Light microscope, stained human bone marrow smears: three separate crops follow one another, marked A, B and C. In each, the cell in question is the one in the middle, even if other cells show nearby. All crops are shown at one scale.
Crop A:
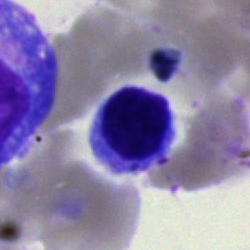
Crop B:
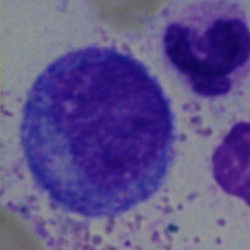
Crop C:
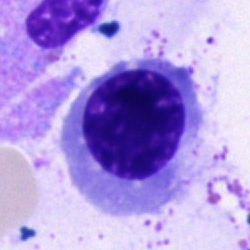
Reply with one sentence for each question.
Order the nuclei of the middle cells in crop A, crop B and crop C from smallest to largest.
Going up, they run A, C, B.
